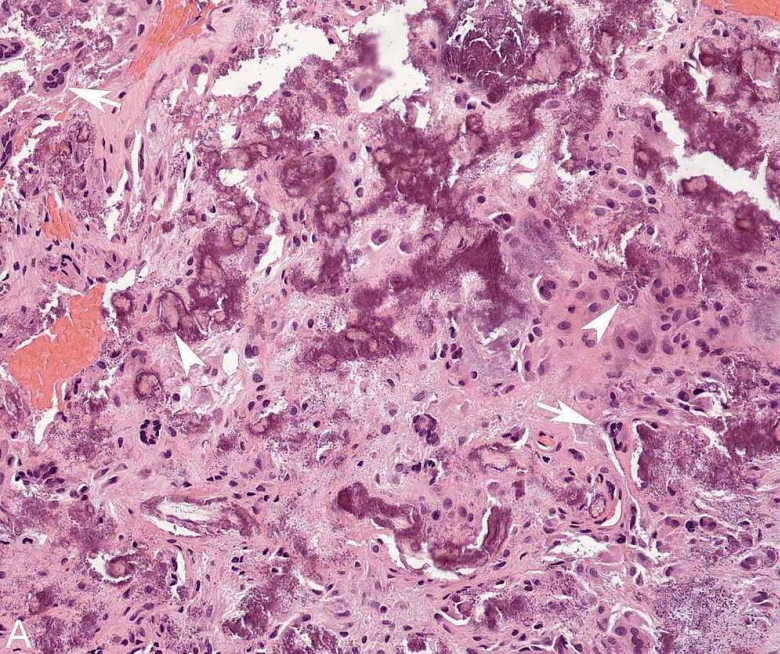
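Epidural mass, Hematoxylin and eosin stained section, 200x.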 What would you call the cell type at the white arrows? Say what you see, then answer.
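Marked spots show clusters of several nuclei in shared cytoplasm. So: foreign body-type giant cell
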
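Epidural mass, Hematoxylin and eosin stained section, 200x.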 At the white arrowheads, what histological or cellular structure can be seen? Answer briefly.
Lacunes of chondrocytes.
